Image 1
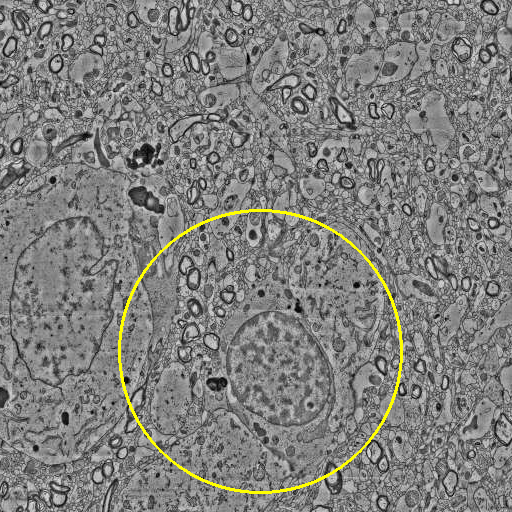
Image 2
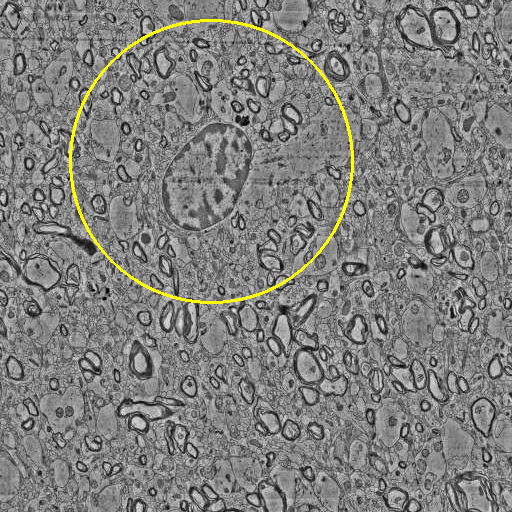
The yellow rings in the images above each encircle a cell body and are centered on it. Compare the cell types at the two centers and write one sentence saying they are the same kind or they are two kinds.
Taken together, the two cells at the ring centers are two kinds.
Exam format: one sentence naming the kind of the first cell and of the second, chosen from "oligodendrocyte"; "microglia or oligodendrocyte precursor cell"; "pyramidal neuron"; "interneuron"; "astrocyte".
The first picture's cell is an oligodendrocyte, and the second picture's cell is a microglial cell or oligodendrocyte precursor cell.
